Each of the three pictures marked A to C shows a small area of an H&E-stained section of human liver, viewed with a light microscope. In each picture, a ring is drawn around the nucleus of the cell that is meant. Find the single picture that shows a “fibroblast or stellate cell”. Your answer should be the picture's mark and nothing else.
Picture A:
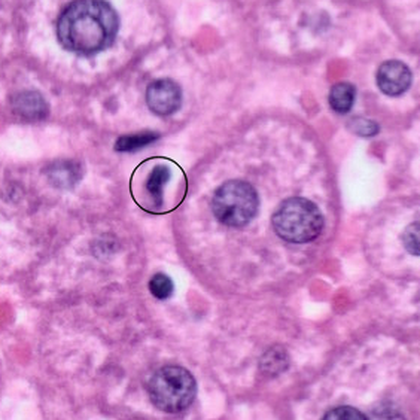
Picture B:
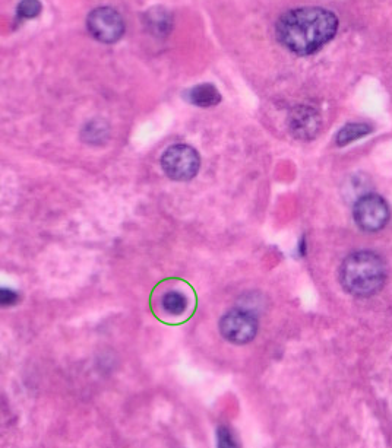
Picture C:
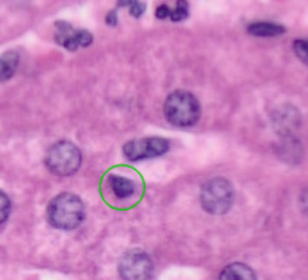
C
